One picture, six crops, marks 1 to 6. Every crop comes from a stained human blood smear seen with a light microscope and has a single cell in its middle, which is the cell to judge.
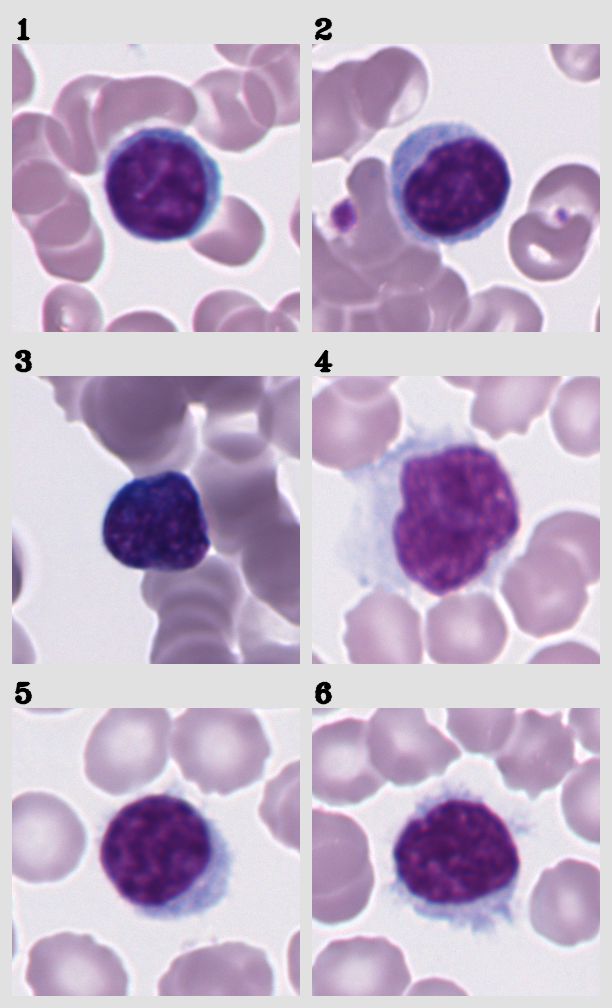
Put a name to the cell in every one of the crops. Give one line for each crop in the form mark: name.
1: typical lymphocyte
2: typical lymphocyte
3: typical lymphocyte
4: hairy cell
5: hairy cell
6: hairy cell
